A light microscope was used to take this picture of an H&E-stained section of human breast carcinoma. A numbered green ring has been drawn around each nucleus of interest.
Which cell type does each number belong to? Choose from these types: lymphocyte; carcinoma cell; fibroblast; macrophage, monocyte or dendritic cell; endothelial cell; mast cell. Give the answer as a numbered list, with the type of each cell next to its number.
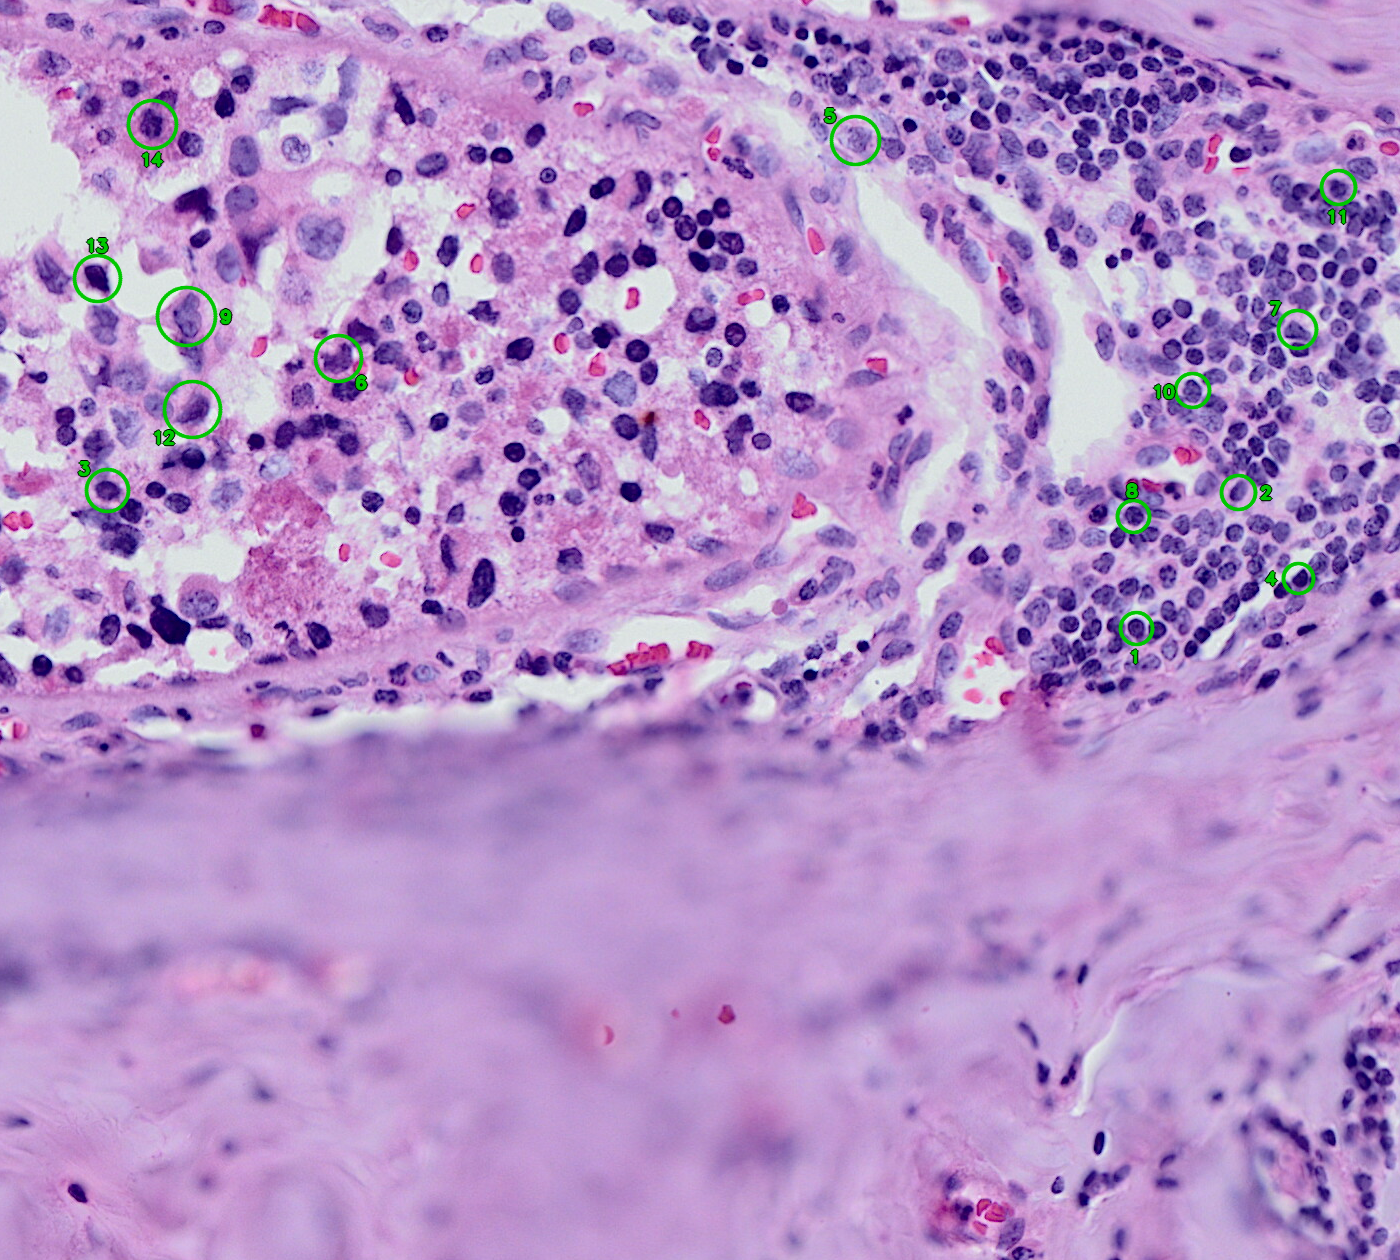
1. lymphocyte
2. lymphocyte
3. carcinoma cell
4. lymphocyte
5. macrophage, monocyte or dendritic cell
6. carcinoma cell
7. lymphocyte
8. lymphocyte
9. carcinoma cell
10. lymphocyte
11. lymphocyte
12. carcinoma cell
13. carcinoma cell
14. carcinoma cell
